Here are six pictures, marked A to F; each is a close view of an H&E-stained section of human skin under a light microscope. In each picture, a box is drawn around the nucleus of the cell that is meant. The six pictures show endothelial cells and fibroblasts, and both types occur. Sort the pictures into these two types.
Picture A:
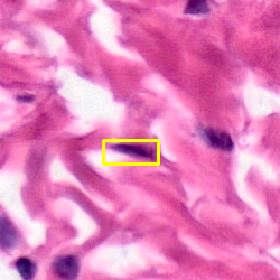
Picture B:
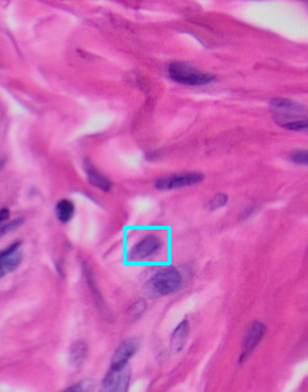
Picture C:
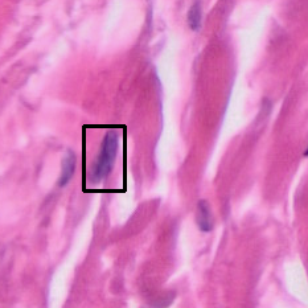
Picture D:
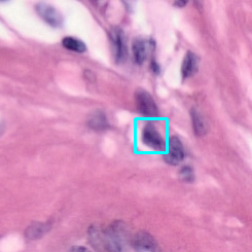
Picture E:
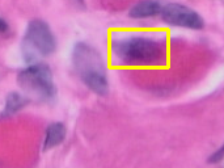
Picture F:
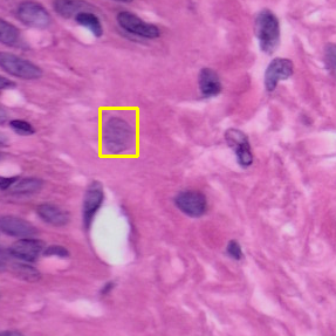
A: fibroblast
B: endothelial cell
C: fibroblast
D: endothelial cell
E: endothelial cell
F: fibroblast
